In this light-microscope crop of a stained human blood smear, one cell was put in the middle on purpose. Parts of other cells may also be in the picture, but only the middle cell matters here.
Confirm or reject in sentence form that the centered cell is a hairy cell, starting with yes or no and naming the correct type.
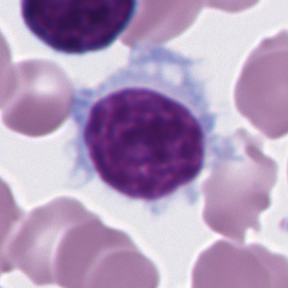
Yes, the cell that lies centrally is a hairy cell.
